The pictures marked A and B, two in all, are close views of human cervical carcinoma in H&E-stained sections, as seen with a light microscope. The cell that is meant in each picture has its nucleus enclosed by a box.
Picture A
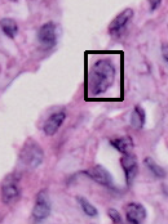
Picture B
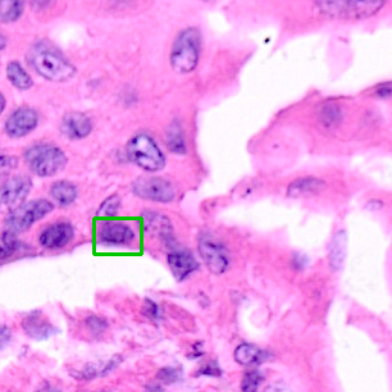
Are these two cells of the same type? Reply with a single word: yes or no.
no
